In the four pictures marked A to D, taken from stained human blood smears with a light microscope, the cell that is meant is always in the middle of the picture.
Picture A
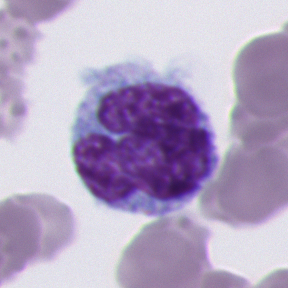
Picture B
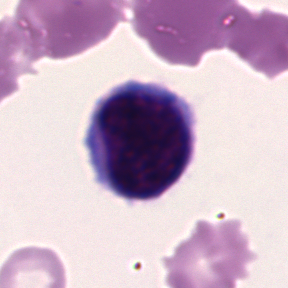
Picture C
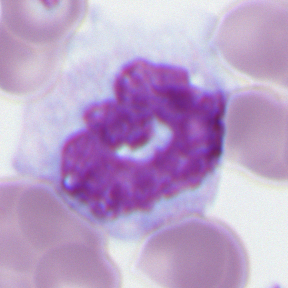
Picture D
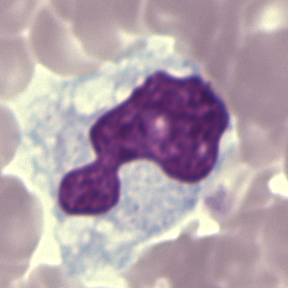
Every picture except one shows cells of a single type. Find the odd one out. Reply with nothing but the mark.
B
